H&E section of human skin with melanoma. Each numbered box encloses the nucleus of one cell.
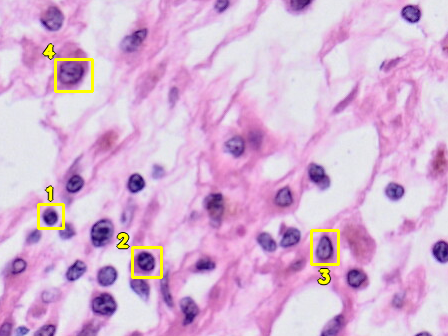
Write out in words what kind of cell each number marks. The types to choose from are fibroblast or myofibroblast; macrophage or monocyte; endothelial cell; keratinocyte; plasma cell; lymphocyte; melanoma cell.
Cell 1 is a lymphocyte. Cell 2 is a plasma cell. Cells 3 and 4 are macrophages or monocytes.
